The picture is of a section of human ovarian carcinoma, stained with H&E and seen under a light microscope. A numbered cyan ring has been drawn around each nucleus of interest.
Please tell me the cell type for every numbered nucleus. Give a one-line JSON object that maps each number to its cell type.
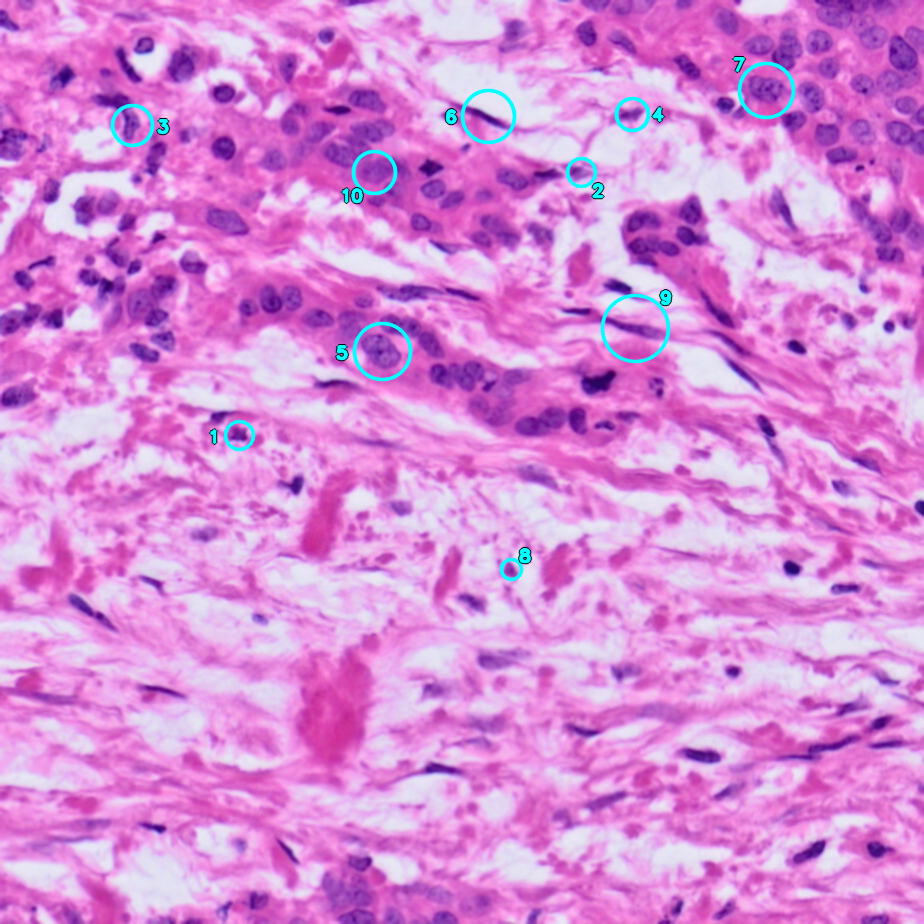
{"1": "fibroblast", "2": "fibroblast", "3": "macrophage or monocyte", "4": "fibroblast", "5": "carcinoma cell", "6": "fibroblast", "7": "carcinoma cell", "8": "fibroblast", "9": "fibroblast", "10": "carcinoma cell"}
